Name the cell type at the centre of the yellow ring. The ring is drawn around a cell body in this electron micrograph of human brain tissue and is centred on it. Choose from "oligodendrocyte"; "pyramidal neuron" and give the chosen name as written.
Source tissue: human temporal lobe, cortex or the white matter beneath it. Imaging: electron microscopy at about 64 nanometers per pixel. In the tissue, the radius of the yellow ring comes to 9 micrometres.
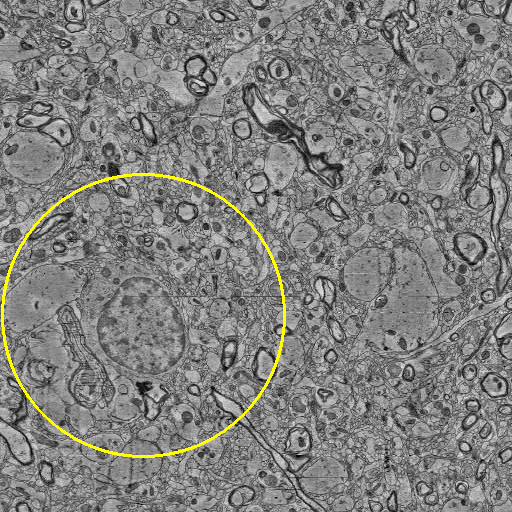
oligodendrocyte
